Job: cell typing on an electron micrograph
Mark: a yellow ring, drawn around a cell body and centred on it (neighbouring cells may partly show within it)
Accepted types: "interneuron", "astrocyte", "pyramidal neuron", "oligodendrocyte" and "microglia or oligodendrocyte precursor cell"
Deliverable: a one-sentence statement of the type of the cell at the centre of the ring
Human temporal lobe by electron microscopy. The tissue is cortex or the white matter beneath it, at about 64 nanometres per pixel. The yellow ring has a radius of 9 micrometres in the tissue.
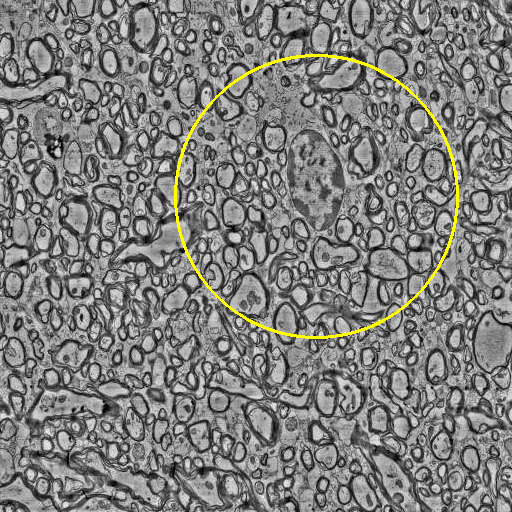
The centred cell body is that of a microglial cell or oligodendrocyte precursor cell.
